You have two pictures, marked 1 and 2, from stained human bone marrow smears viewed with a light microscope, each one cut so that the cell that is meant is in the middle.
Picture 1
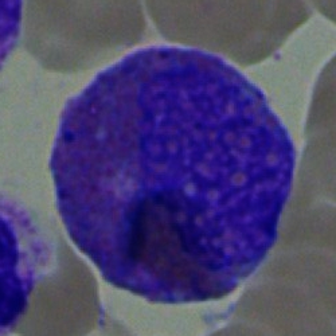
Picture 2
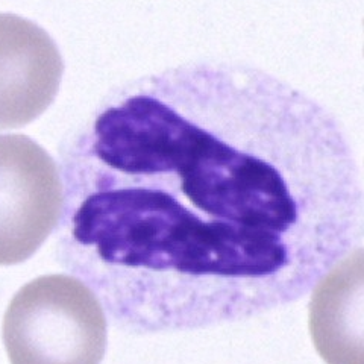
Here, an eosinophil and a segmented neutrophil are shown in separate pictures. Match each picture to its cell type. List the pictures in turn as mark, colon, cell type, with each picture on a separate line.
1: eosinophil
2: segmented neutrophil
